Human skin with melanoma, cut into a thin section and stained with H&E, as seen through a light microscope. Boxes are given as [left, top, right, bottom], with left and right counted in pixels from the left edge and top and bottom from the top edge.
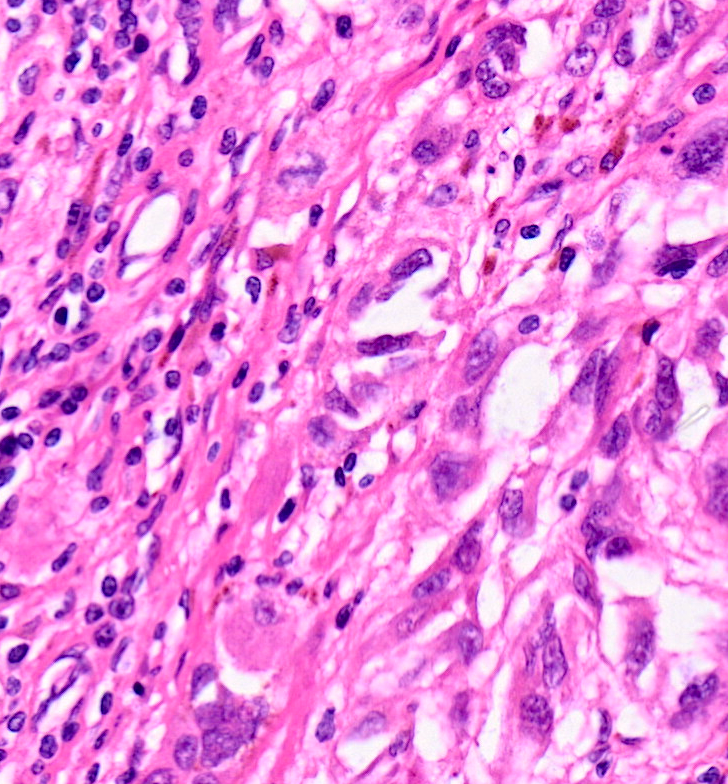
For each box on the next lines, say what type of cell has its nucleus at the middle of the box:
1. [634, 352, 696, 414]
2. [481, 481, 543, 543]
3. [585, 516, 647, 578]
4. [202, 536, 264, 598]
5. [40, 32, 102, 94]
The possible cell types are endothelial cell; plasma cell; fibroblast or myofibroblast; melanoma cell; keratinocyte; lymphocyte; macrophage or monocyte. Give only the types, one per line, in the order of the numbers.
melanoma cell
melanoma cell
melanoma cell
lymphocyte
lymphocyte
